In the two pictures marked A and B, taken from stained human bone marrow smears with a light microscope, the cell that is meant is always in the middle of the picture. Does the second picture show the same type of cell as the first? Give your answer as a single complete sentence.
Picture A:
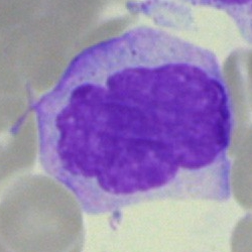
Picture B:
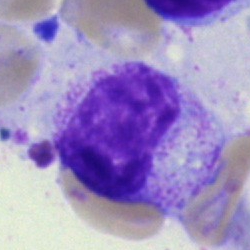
No. Picture A shows a monocyte, but picture B shows a metamyelocyte.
